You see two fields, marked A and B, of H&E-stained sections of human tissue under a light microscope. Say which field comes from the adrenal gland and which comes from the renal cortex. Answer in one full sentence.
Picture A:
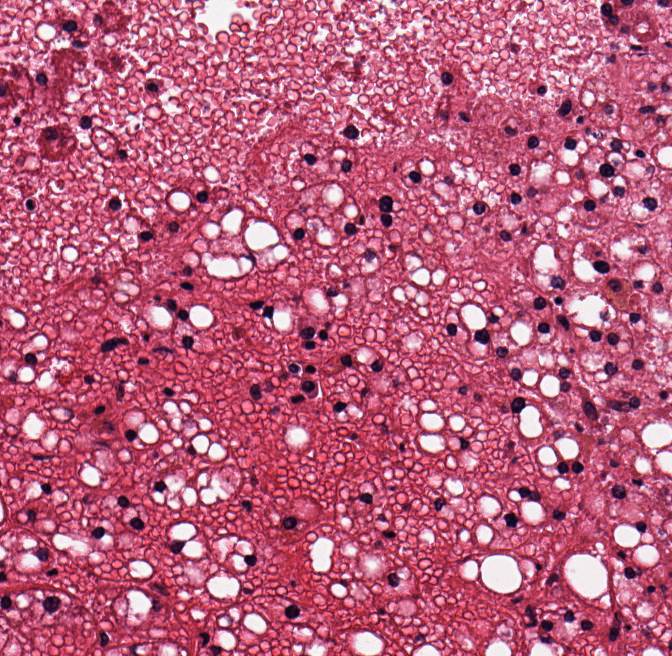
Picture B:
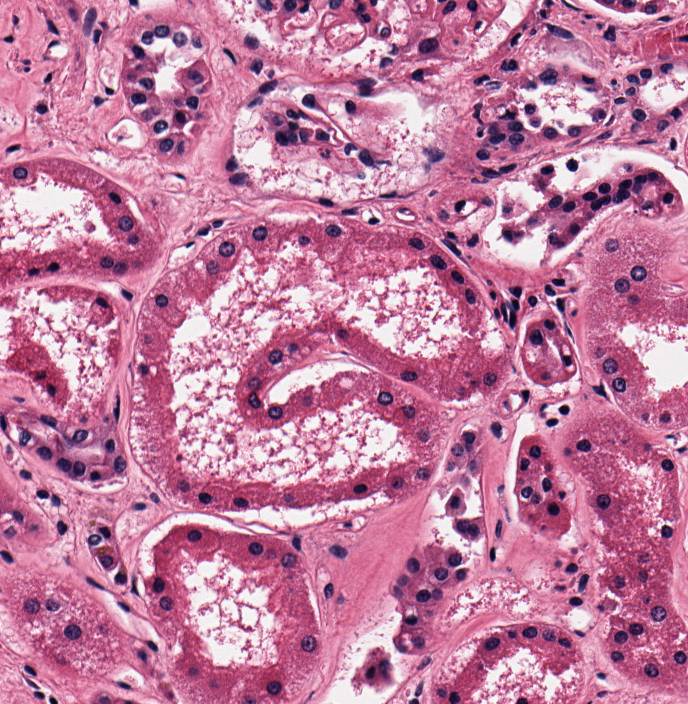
Picture B comes from the renal cortex, while picture A comes from the adrenal gland.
